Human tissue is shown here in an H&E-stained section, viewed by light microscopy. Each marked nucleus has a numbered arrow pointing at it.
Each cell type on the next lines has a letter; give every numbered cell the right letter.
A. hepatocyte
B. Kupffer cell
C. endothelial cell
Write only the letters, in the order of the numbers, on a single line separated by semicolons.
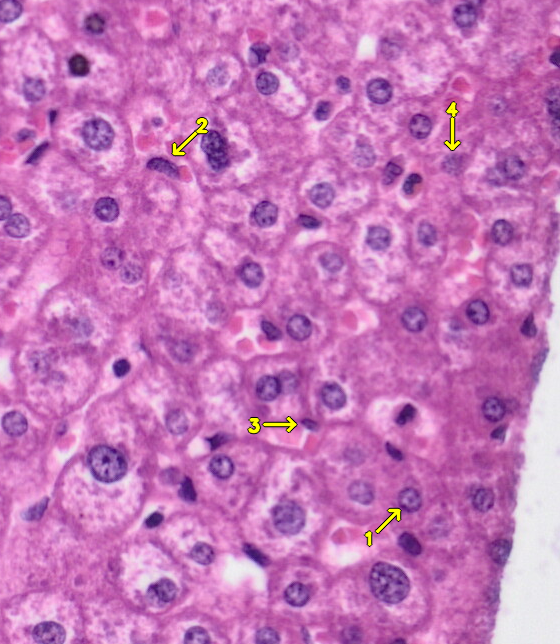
A; B; C; A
